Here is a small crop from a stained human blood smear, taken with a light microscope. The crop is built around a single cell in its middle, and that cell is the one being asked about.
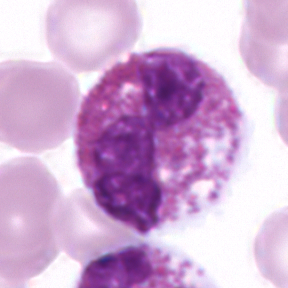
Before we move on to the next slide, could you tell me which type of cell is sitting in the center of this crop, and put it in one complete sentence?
In the middle of this smear crop, the cell is an eosinophil.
